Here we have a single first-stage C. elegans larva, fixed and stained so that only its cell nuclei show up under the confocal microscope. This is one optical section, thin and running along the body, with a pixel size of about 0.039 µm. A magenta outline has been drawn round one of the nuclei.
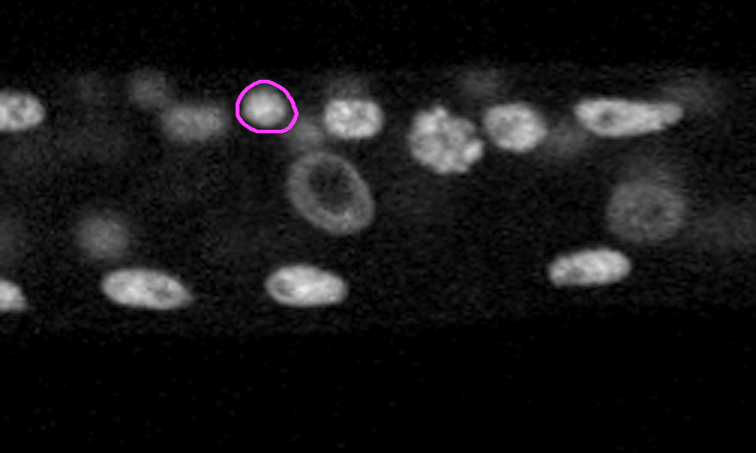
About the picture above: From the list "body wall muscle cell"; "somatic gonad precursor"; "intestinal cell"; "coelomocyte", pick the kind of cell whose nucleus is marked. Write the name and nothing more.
coelomocyte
